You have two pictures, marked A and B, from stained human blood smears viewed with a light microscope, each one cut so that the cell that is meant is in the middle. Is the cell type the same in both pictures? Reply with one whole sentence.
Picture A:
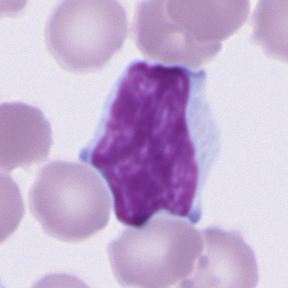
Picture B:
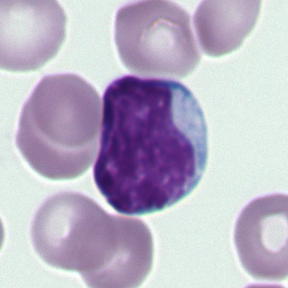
No, picture A shows a typical lymphocyte and picture B shows a myeloblast.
